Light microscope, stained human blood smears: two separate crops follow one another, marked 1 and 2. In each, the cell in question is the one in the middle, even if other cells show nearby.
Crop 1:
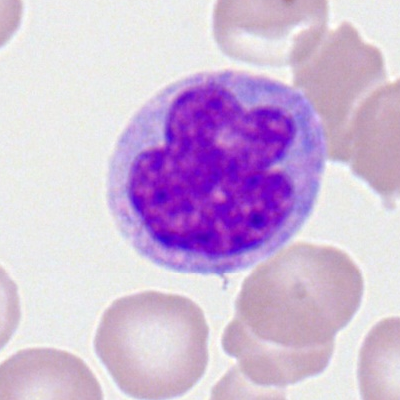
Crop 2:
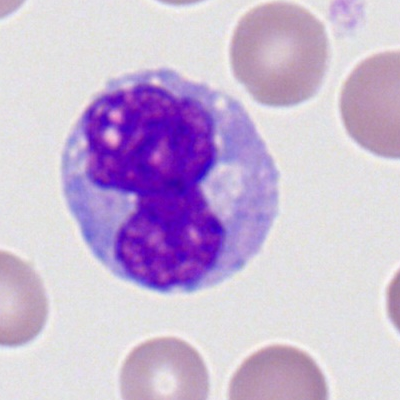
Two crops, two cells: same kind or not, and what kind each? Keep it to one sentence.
Yes, in the two crops, monocytes are the cells at the centre.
